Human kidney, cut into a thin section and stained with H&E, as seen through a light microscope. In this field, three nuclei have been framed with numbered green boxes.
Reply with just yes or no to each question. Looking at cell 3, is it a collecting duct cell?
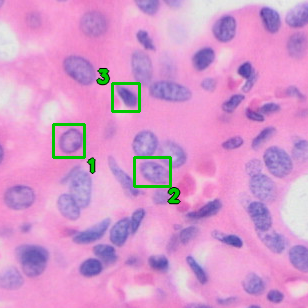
no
